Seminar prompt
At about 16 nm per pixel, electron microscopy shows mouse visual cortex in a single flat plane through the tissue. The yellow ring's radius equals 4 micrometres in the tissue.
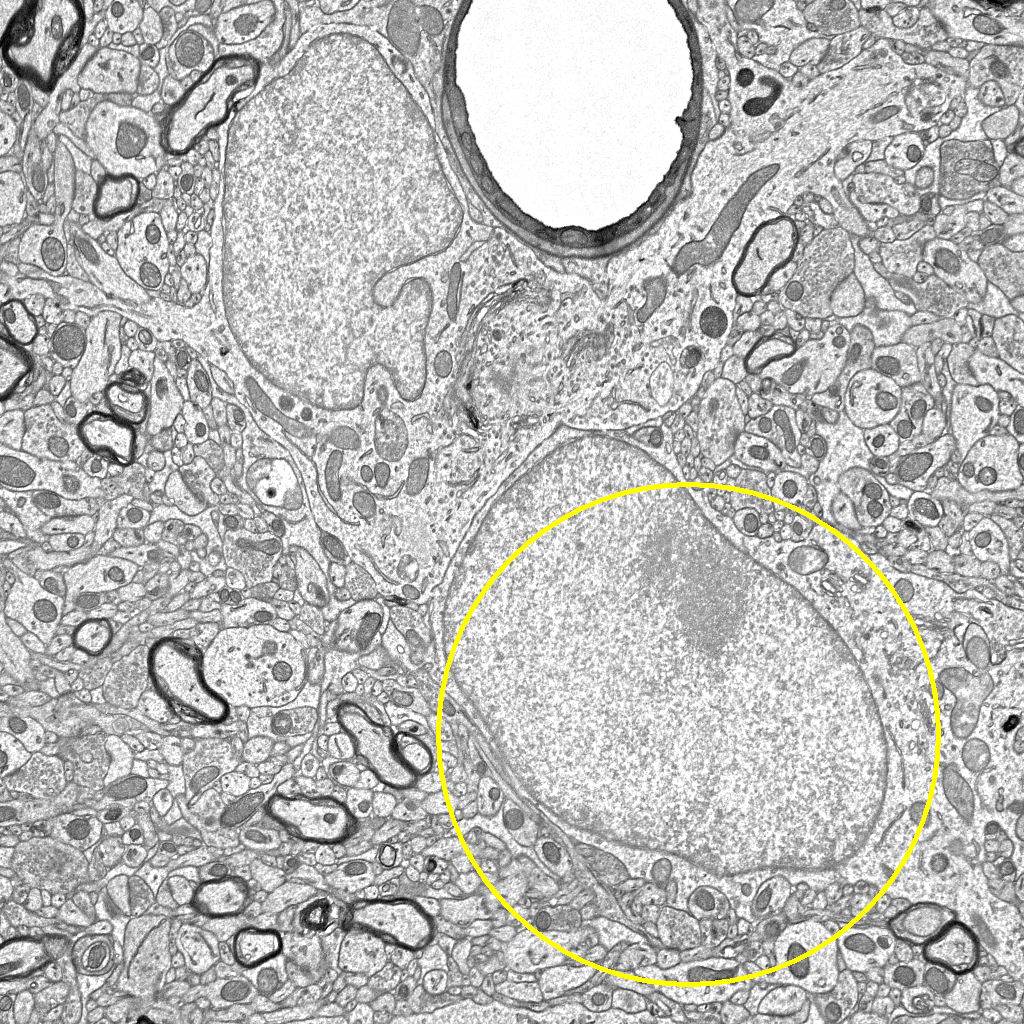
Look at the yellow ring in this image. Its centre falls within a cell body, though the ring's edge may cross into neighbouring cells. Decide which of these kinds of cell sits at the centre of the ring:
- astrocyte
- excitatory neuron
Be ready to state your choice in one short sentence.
The kind of cell at the ring's centre is an astrocyte.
